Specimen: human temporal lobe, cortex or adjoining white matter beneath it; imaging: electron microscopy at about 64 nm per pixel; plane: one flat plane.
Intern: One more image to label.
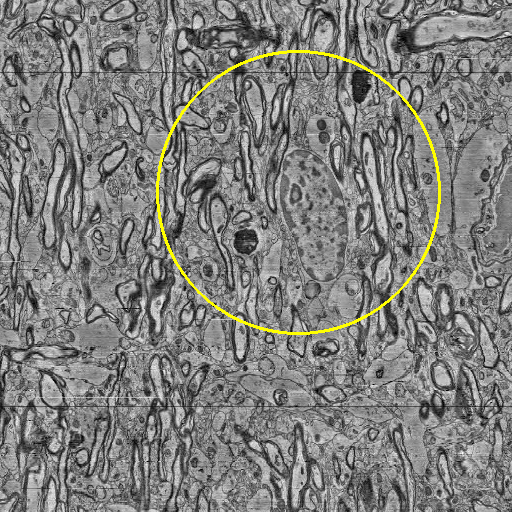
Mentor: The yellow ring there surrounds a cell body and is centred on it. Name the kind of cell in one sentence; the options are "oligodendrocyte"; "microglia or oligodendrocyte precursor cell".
The ring marks the cell body of a microglial cell or oligodendrocyte precursor cell.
